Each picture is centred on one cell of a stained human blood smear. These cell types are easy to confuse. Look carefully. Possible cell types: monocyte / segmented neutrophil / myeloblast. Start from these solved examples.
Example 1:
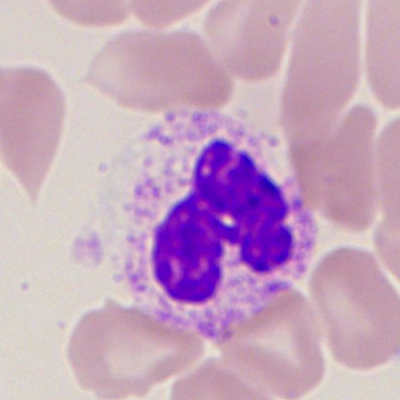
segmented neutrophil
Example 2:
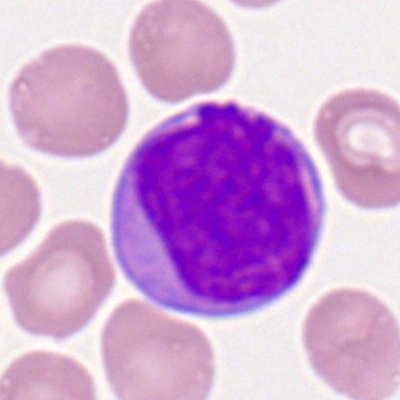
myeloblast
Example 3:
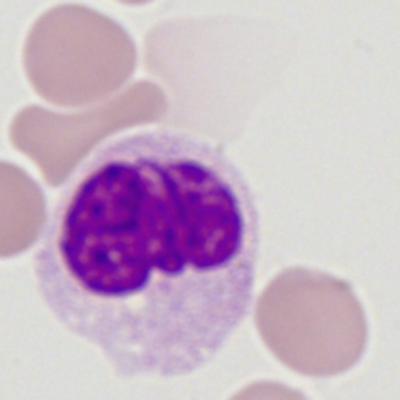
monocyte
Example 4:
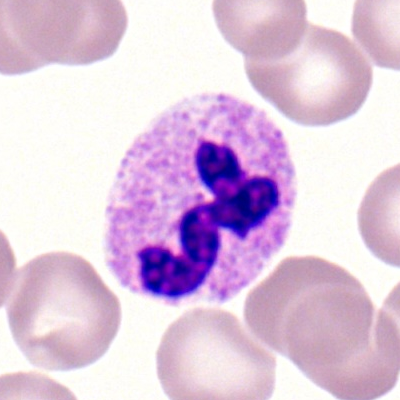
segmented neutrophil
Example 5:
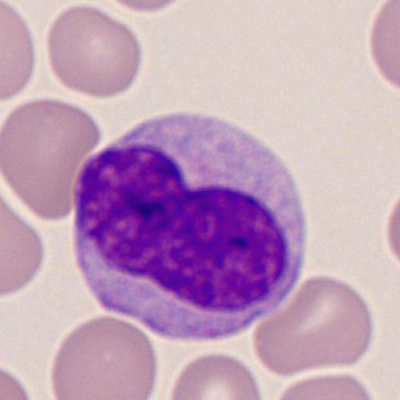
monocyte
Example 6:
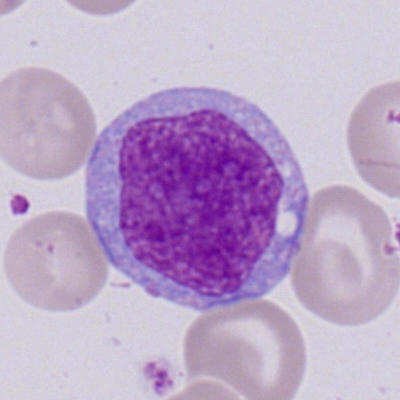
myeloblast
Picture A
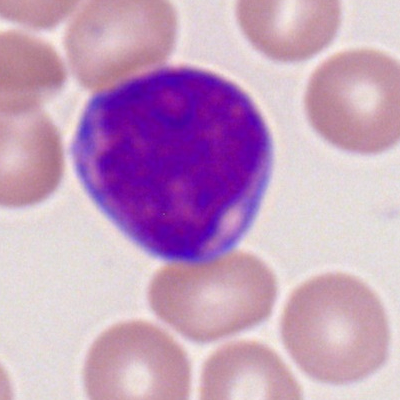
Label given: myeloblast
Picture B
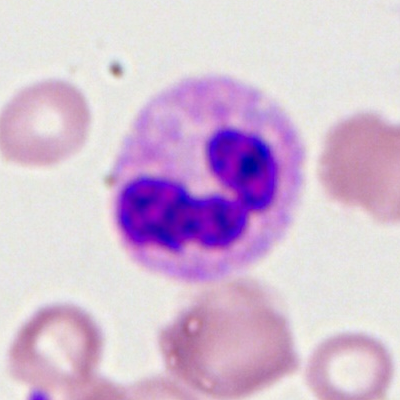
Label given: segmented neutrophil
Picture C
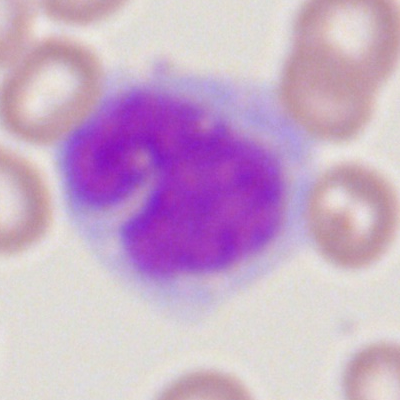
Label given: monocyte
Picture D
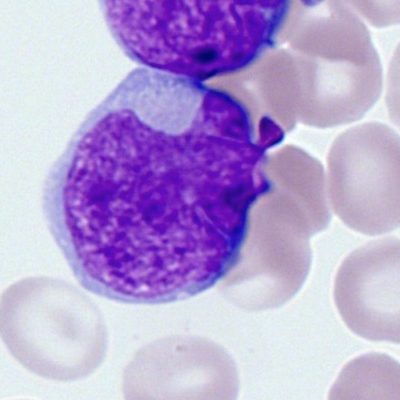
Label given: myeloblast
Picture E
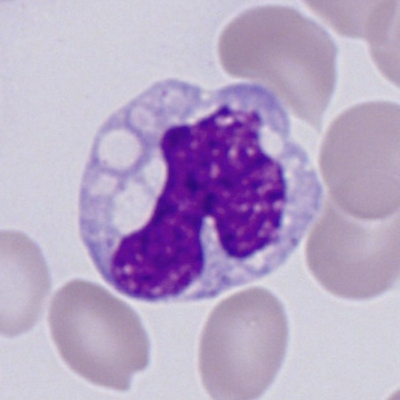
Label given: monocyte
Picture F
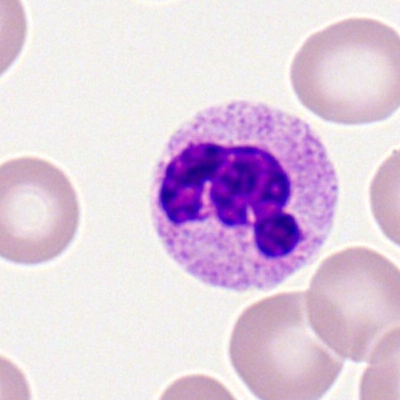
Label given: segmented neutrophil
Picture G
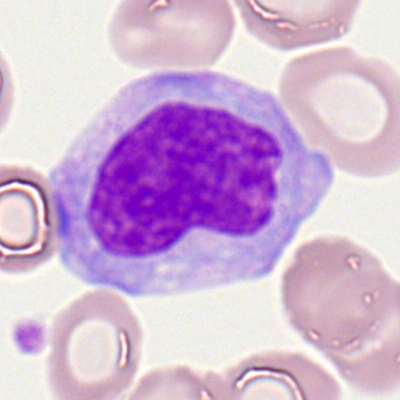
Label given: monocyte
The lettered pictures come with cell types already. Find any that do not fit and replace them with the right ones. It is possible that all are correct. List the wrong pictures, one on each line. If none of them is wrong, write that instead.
No label is wrong.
